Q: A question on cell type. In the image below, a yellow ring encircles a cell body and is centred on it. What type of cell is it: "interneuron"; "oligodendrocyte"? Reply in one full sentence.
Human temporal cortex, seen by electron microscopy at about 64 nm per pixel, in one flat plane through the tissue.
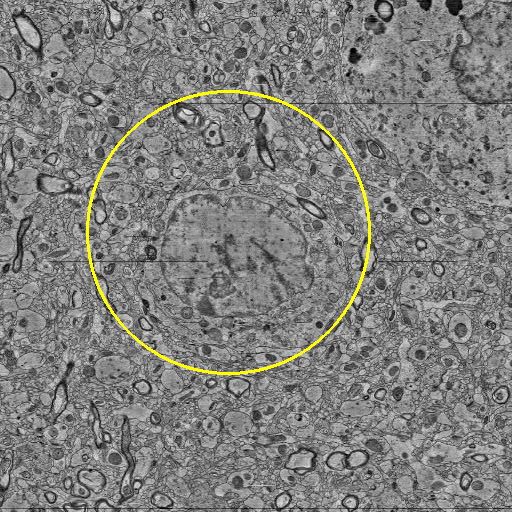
It is an interneuron whose cell body sits at the centre of the yellow ring in the image.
